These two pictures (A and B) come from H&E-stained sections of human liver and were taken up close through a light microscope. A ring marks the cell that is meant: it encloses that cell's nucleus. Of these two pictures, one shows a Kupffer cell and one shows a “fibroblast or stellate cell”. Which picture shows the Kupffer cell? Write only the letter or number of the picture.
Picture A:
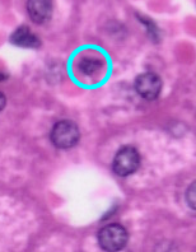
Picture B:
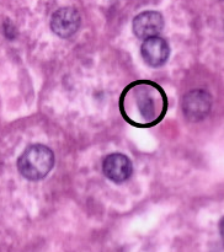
B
